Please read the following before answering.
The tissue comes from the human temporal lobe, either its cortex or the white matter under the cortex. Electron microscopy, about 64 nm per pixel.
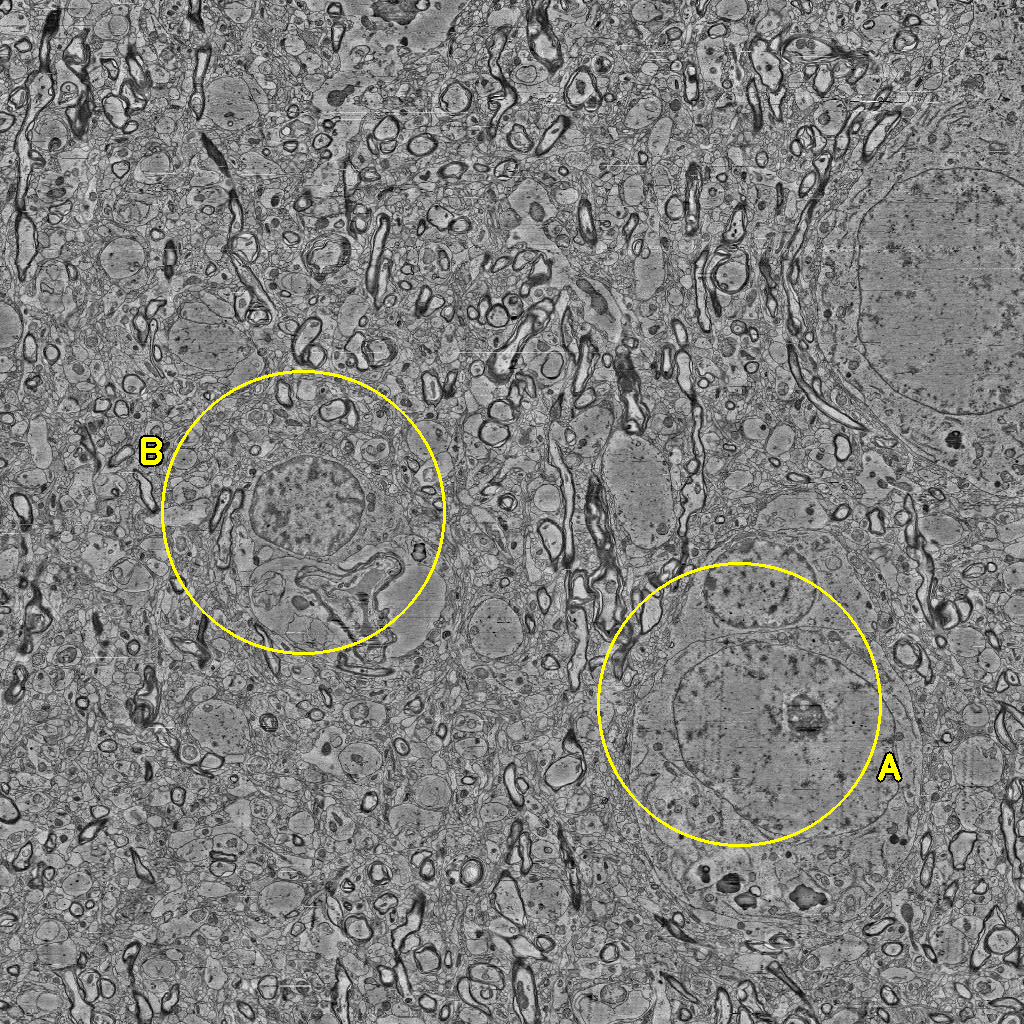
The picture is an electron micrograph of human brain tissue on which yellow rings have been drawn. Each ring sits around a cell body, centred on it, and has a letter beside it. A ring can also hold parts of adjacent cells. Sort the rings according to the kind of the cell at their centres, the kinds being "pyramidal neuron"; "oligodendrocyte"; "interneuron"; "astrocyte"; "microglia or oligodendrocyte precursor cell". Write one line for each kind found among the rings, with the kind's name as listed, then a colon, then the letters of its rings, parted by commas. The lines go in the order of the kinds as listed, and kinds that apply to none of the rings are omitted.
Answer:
oligodendrocyte: B
interneuron: A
